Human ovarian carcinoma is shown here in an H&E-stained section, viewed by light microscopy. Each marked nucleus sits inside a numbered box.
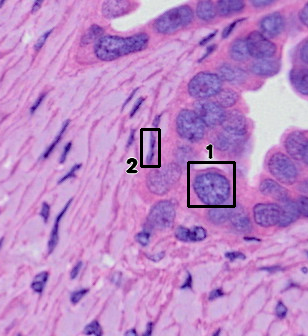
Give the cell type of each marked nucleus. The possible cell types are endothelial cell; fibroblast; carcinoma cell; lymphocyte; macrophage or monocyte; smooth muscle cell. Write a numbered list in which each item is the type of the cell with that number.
1. carcinoma cell
2. fibroblast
